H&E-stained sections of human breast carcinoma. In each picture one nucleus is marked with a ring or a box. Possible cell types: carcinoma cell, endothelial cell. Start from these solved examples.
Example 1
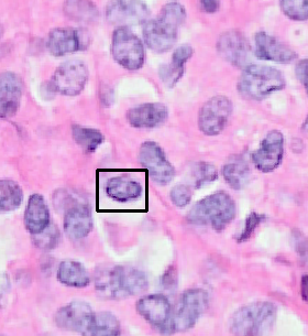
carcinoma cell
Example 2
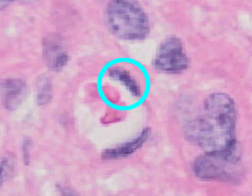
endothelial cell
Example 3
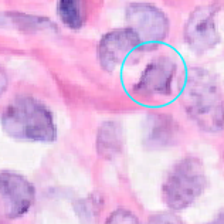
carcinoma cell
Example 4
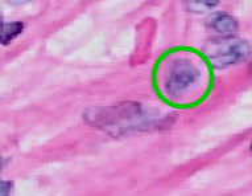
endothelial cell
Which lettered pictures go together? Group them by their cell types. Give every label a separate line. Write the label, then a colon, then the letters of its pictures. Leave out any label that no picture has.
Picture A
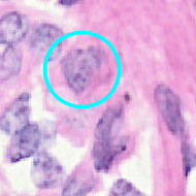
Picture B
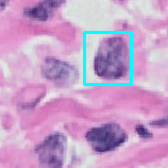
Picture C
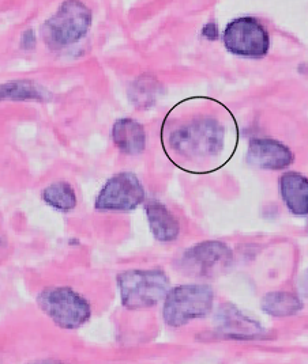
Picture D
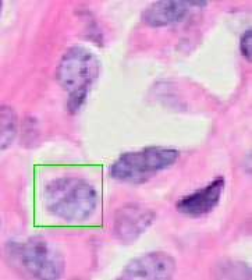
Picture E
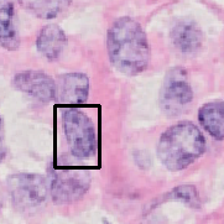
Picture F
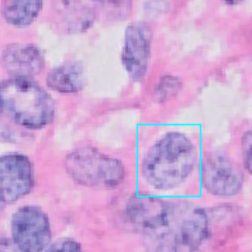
carcinoma cell: A, B, C, D, E, F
